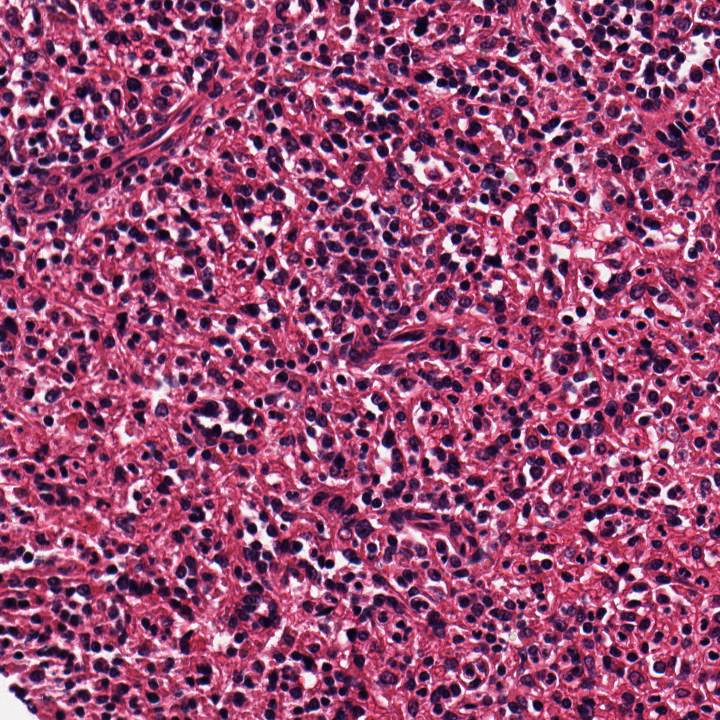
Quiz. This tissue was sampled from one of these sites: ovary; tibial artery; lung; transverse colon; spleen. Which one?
spleen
